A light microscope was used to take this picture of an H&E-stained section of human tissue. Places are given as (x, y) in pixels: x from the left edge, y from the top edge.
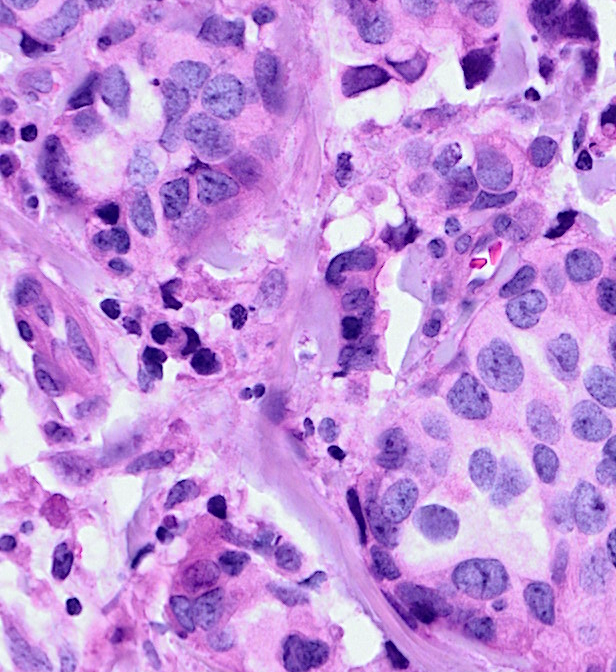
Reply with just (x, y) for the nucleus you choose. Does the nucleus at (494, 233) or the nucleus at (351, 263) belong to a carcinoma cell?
(351, 263)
